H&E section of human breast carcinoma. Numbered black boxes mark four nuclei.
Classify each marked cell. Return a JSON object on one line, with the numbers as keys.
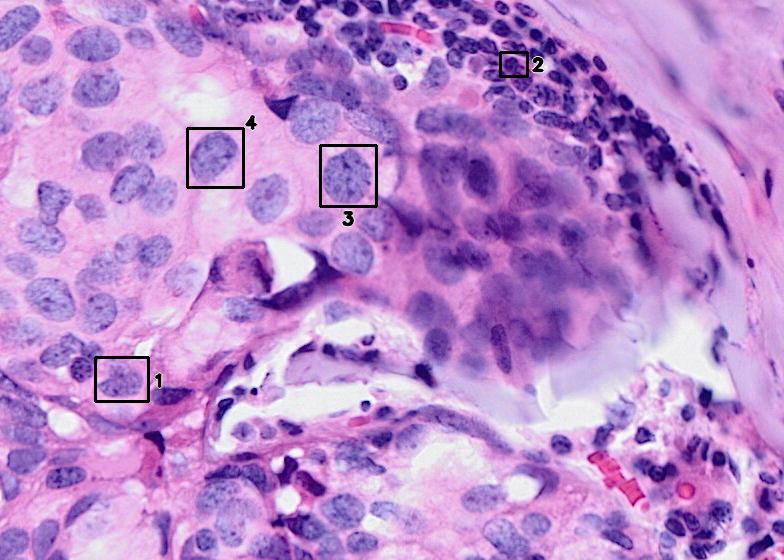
{"1": "carcinoma cell", "2": "lymphocyte", "3": "carcinoma cell", "4": "carcinoma cell"}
